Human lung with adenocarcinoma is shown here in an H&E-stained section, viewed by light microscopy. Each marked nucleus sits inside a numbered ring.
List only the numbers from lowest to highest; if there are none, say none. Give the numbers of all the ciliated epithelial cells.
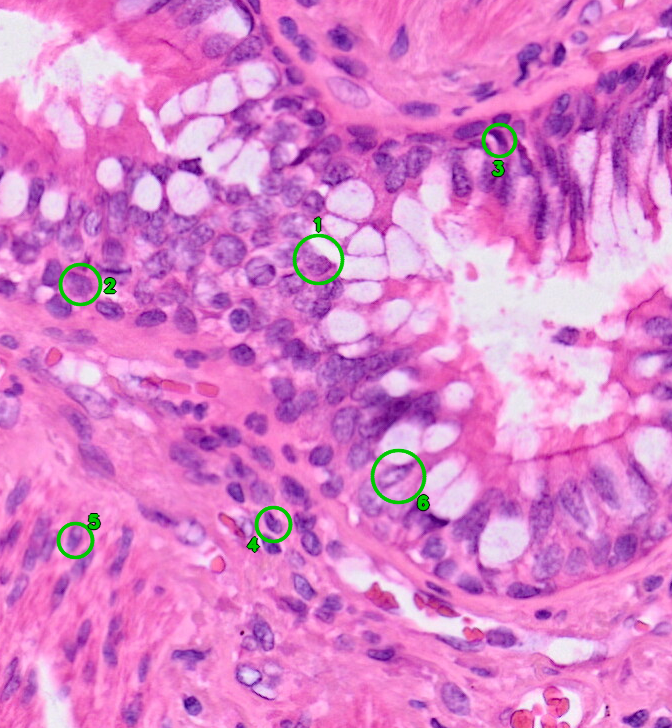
1, 2, 3, 6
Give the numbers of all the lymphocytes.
4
